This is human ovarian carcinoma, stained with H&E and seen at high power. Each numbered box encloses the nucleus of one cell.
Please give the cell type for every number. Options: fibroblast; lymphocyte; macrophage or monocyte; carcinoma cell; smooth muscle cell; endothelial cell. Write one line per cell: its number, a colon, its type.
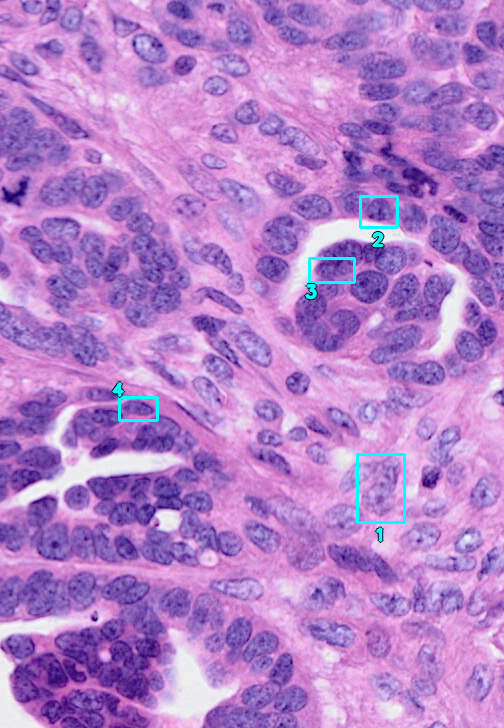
1: fibroblast
2: carcinoma cell
3: carcinoma cell
4: carcinoma cell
